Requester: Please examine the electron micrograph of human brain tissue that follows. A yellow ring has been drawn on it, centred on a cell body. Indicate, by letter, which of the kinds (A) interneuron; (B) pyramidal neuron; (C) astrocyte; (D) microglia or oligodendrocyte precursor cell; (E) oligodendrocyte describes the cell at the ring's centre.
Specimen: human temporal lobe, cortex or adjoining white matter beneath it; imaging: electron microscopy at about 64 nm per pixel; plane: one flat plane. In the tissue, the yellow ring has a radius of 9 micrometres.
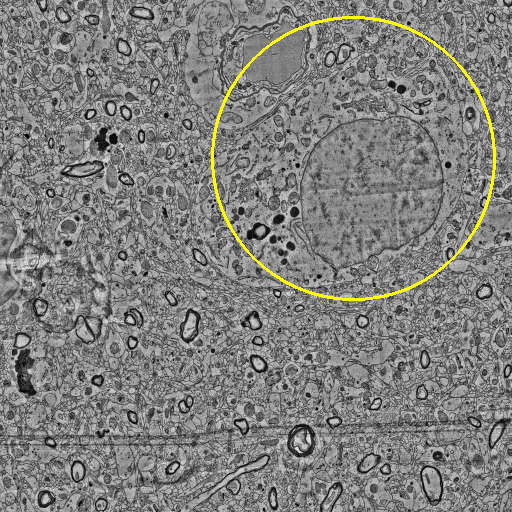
A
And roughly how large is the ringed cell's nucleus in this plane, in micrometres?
The nucleus comes to roughly 11 by 9 micrometres in this plane.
